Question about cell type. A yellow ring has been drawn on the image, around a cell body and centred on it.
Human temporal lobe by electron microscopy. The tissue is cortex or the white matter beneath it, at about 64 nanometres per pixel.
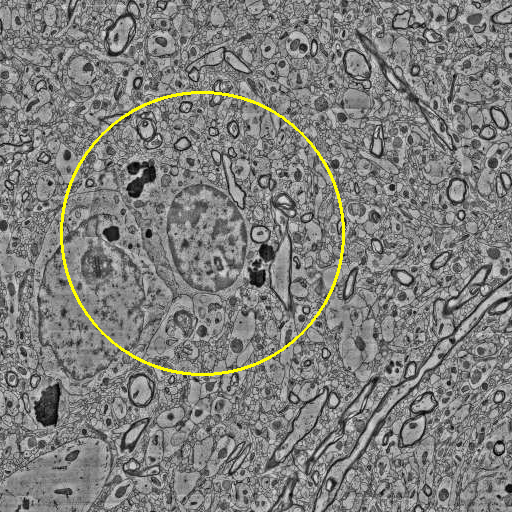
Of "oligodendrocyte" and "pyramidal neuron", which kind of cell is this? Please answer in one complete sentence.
At the centre of the ring lies an oligodendrocyte.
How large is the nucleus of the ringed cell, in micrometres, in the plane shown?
In this plane the nucleus spans approximately 7 by 5 micrometers.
